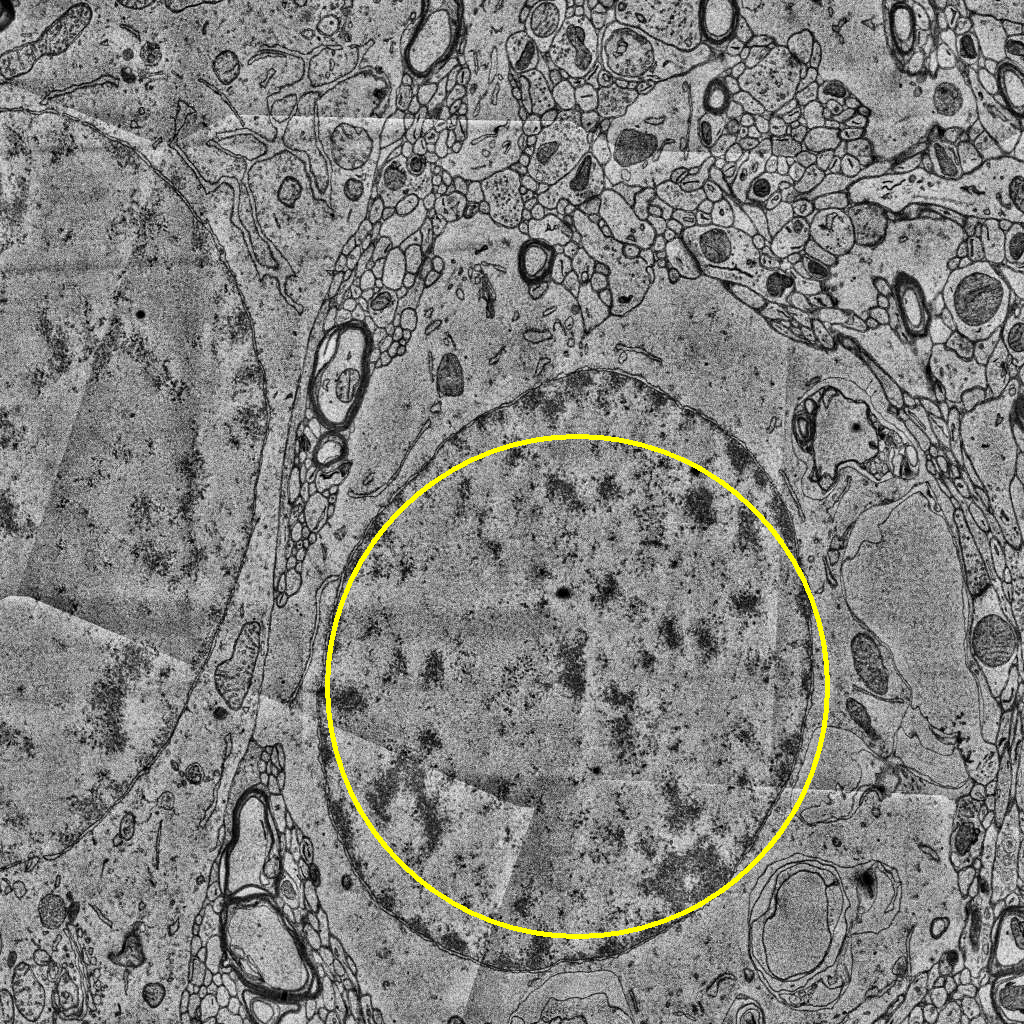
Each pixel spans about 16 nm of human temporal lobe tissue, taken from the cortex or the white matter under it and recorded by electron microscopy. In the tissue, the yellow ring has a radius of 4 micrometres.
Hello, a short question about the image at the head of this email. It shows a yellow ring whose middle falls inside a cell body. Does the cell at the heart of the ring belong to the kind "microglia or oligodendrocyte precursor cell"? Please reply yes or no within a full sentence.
No, the cell at the heart of the ring in that image is of a different kind.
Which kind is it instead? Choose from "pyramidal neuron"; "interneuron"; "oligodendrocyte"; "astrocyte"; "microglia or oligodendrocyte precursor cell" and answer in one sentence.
The cell this ring marks is an astrocyte.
